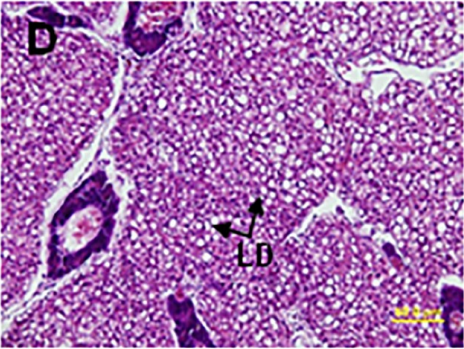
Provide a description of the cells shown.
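Liver tissue is seen in which the hepatic cells are packed with many round, clear, unstained vacuoles, giving the pink tissue a foamy, honeycomb look, with small purple nuclei pushed between them. The cells lie in large masses separated by thin clear spaces, and a few small, intensely purple-staining clusters sit around vessels at the edges of these masses.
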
